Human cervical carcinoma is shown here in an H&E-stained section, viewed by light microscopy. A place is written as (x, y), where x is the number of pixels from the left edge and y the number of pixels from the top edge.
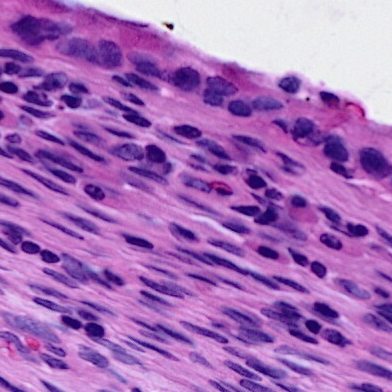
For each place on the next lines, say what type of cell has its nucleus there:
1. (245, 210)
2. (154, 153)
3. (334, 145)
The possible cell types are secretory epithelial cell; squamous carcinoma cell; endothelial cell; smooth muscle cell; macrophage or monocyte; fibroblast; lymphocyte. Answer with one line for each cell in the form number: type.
1: lymphocyte
2: lymphocyte
3: secretory epithelial cell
